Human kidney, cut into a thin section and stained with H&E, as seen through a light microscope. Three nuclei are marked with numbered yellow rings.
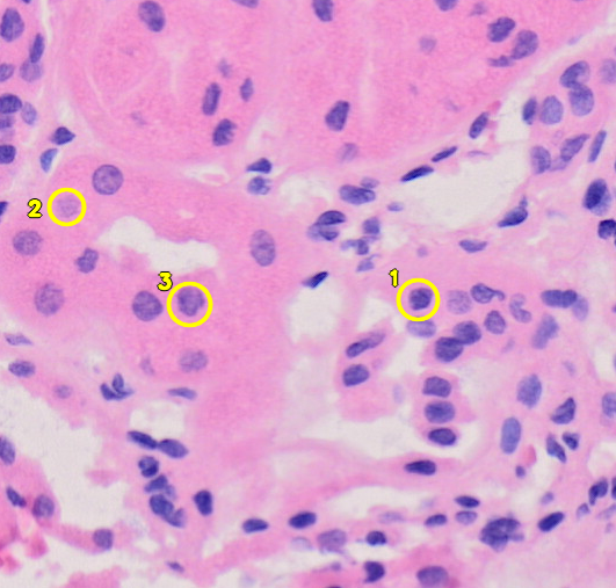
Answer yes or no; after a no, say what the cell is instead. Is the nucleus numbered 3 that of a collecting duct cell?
No, it is a proximal tubule cell.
